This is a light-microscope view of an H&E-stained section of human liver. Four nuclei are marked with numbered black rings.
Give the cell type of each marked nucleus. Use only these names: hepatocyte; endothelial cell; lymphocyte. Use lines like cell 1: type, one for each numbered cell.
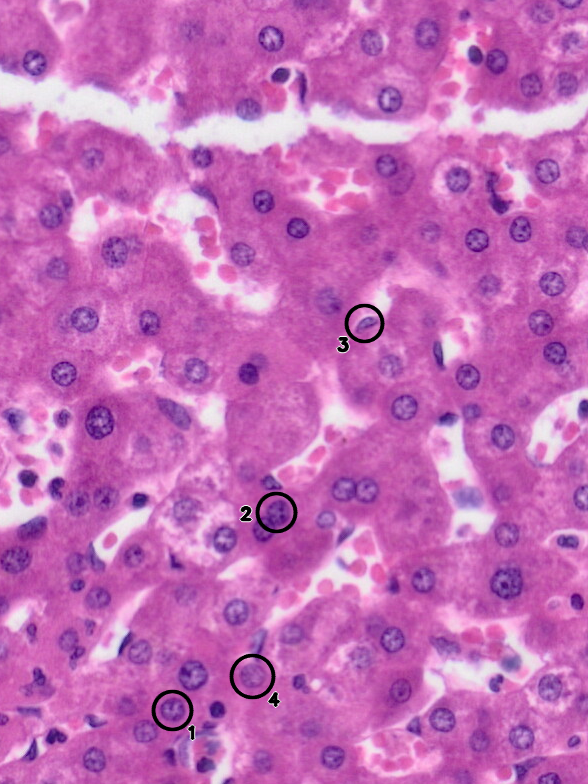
cell 1: hepatocyte
cell 2: hepatocyte
cell 3: endothelial cell
cell 4: hepatocyte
